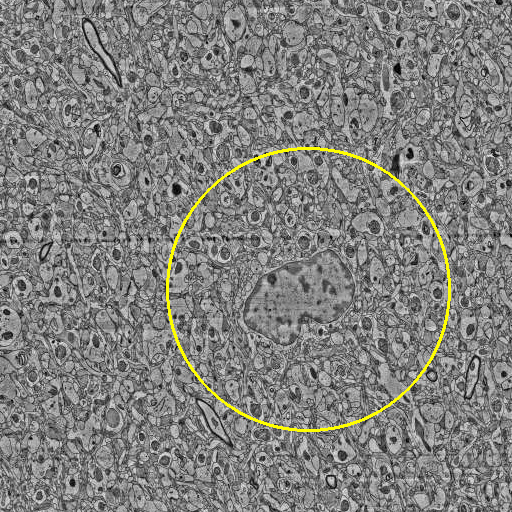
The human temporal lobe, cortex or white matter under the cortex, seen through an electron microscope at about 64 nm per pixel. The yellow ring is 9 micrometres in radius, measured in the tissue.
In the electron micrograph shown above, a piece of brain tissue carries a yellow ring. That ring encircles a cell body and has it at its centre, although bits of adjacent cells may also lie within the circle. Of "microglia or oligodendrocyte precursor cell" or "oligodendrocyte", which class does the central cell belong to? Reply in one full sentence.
The cell body at the centre of the yellow ring belongs to a microglial cell or oligodendrocyte precursor cell.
